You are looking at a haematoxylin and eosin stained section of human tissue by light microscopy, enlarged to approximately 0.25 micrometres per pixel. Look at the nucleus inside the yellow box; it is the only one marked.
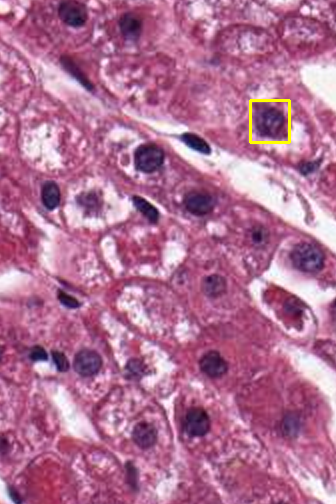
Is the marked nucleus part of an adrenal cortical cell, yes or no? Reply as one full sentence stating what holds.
Yes, it is the nucleus of an adrenal cortical cell that has been marked.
